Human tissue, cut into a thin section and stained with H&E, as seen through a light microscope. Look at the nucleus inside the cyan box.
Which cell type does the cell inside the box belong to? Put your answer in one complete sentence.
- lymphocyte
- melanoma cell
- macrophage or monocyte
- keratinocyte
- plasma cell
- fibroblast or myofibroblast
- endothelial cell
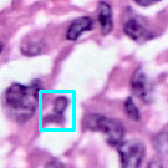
It is as a melanoma cell that the cell inside the box is classified.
